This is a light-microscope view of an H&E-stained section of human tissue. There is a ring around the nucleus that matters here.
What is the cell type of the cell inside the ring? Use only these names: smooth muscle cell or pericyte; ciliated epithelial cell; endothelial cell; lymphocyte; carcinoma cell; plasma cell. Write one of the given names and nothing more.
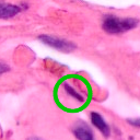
endothelial cell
